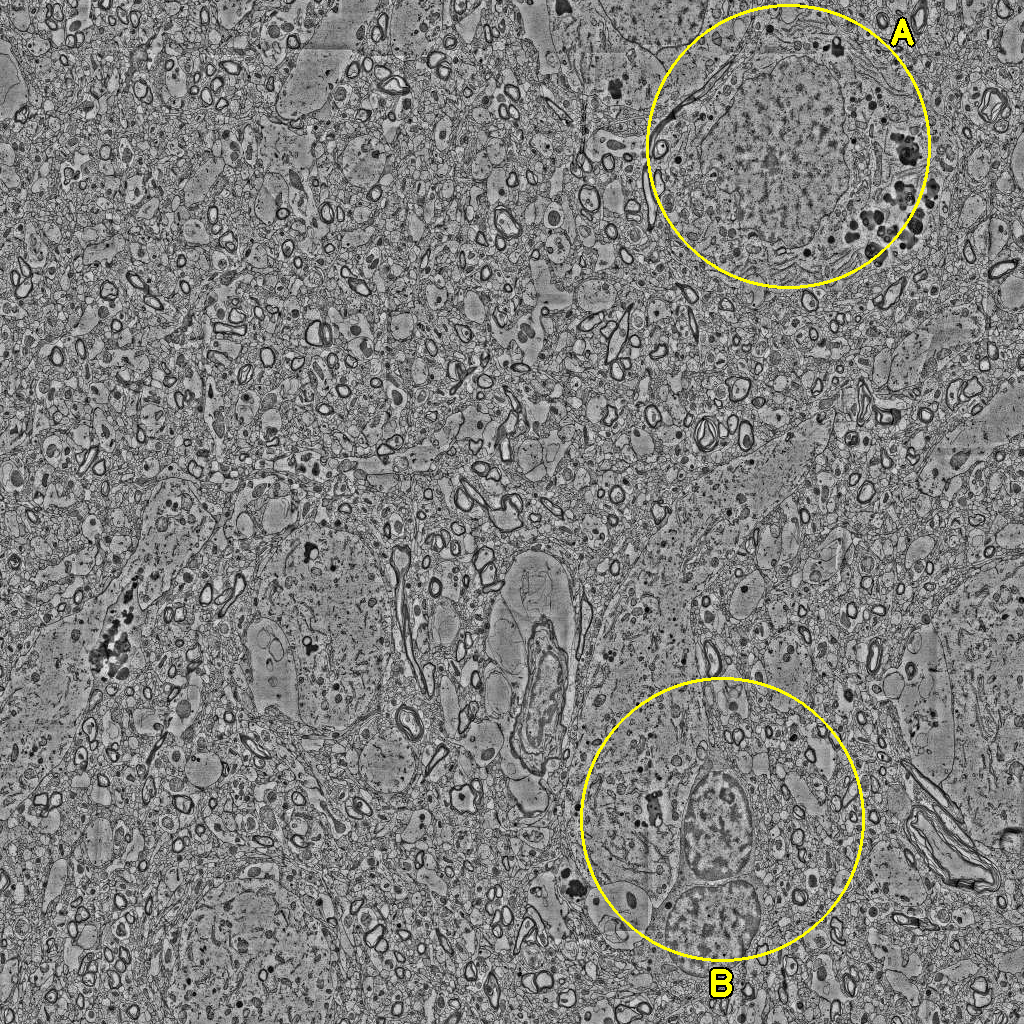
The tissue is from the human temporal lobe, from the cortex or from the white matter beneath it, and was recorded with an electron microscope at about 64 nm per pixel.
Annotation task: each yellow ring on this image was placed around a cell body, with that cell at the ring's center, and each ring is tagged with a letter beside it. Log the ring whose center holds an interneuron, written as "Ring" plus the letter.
Ring A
